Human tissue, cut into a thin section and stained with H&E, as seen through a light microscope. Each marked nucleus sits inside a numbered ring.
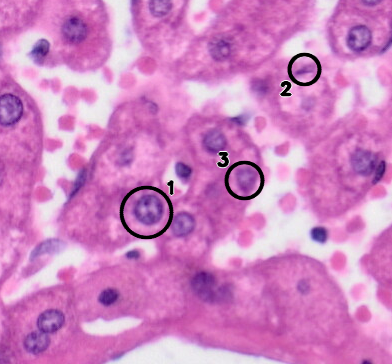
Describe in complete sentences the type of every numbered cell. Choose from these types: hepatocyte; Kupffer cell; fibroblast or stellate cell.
Cell 1 is a hepatocyte, cell 2 is a Kupffer cell and cell 3 is a hepatocyte.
